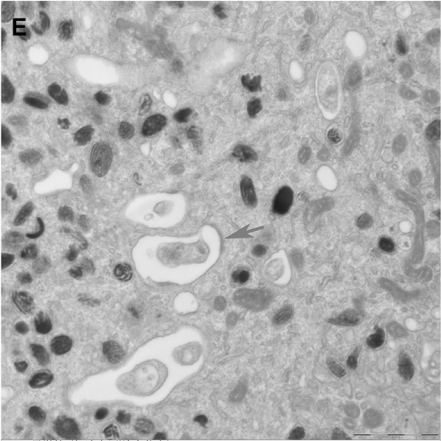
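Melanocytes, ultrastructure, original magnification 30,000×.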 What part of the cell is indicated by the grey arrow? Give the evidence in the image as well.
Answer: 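The arrow points to a clear membrane-bound vacuole in the cytoplasm. The vacuole encloses membranous material of the cytoplasm.
Hence: Autophagosomes.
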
